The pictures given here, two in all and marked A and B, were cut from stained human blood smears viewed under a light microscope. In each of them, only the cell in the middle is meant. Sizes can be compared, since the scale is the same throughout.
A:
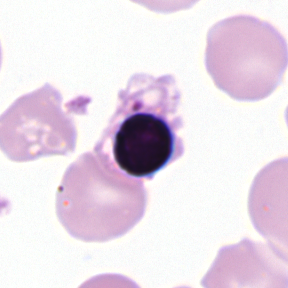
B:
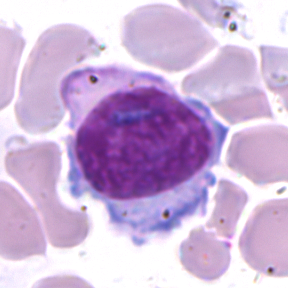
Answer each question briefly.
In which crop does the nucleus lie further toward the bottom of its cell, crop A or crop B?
A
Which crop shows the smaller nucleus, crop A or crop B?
A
